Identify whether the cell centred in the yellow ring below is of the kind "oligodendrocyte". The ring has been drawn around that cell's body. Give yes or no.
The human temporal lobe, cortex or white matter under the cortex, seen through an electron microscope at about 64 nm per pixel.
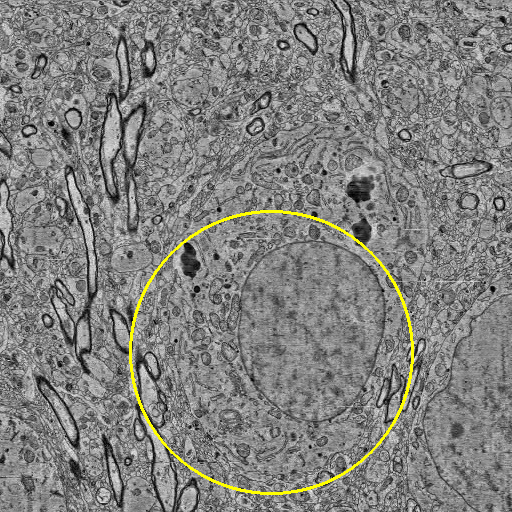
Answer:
no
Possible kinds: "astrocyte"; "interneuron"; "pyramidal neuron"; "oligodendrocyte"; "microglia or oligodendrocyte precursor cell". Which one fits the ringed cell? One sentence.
As it turns out, the cell at the ring centre is an interneuron.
